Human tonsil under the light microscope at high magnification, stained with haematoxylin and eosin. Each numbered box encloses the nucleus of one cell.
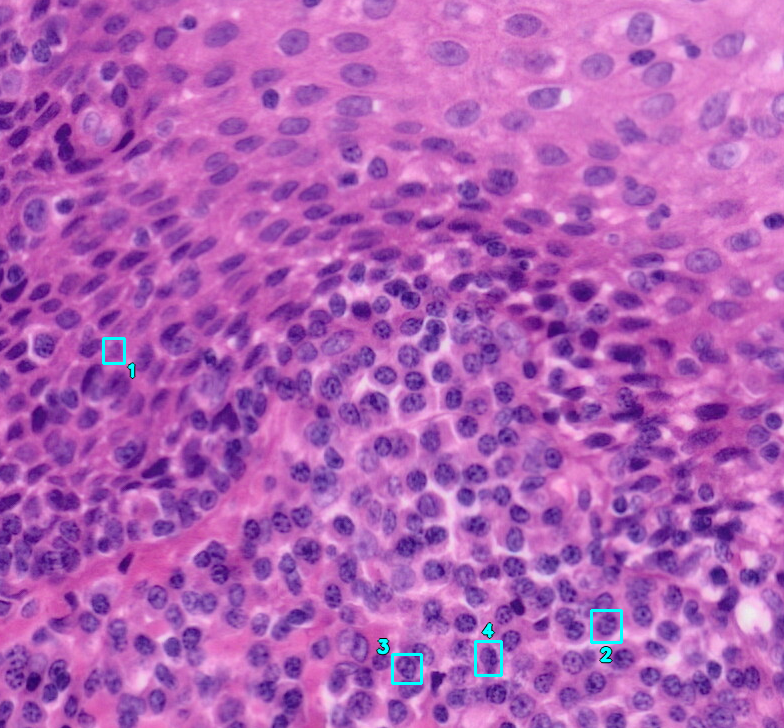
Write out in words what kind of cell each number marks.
Cell 1 is a squamous epithelial cell, cell 2 is a plasma cell, cell 3 is a plasma cell and cell 4 is a plasma cell.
